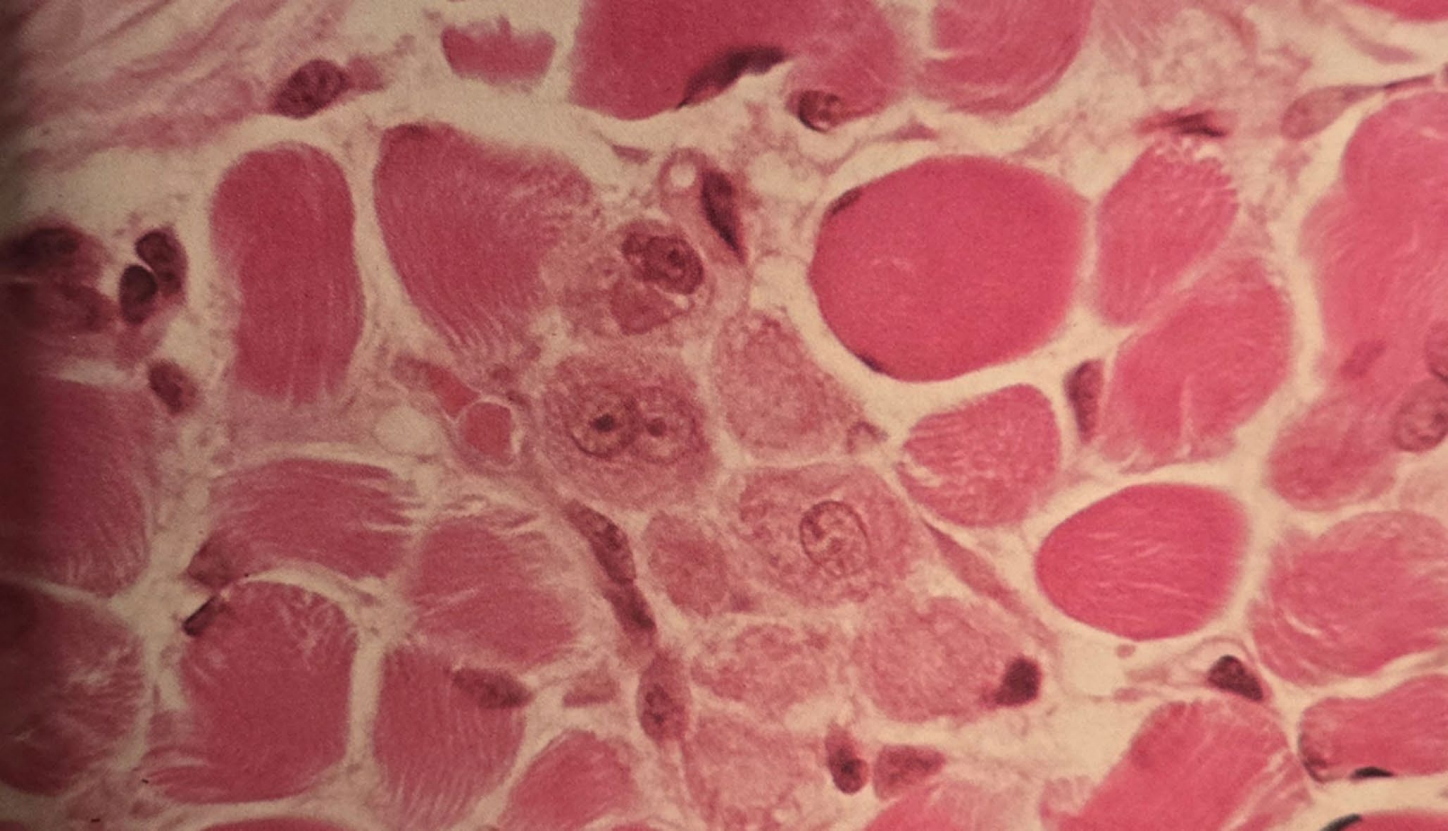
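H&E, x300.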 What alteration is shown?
Regenerating fibres.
